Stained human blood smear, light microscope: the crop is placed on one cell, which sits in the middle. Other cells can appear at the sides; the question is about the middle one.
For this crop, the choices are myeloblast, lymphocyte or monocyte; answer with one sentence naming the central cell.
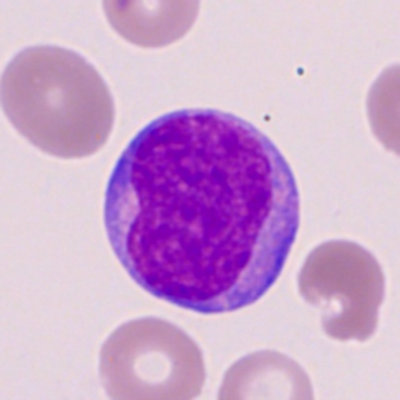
The cell at the centre of the field is a myeloblast.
